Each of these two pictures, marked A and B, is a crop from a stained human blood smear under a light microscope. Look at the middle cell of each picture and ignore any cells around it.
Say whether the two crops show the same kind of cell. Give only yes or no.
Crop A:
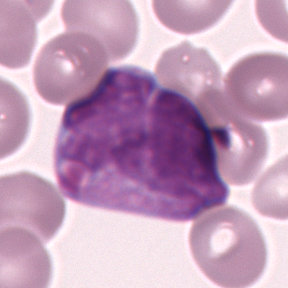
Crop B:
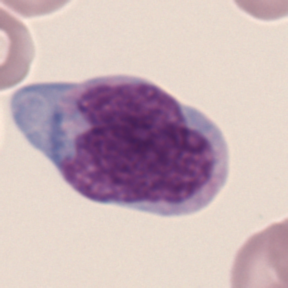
yes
